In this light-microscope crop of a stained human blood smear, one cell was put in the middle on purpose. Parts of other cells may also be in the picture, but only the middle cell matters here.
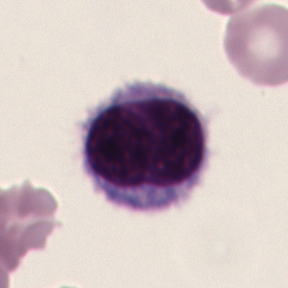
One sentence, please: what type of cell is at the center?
Among the cells in view, the one in the middle is a hairy cell.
